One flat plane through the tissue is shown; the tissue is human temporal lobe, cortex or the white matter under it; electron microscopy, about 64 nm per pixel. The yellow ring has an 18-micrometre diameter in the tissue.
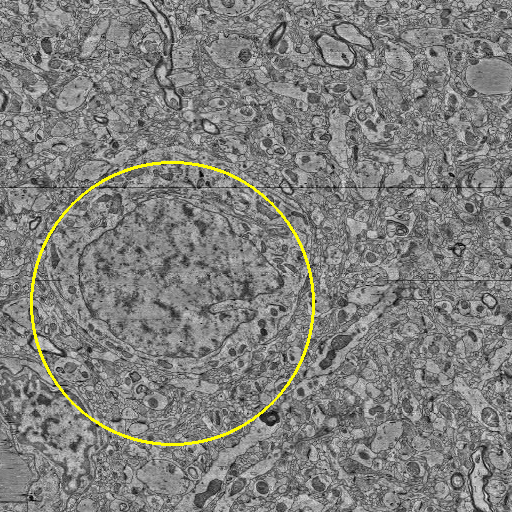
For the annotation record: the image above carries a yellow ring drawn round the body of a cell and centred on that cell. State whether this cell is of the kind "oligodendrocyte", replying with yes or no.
No, this cell is of another kind.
